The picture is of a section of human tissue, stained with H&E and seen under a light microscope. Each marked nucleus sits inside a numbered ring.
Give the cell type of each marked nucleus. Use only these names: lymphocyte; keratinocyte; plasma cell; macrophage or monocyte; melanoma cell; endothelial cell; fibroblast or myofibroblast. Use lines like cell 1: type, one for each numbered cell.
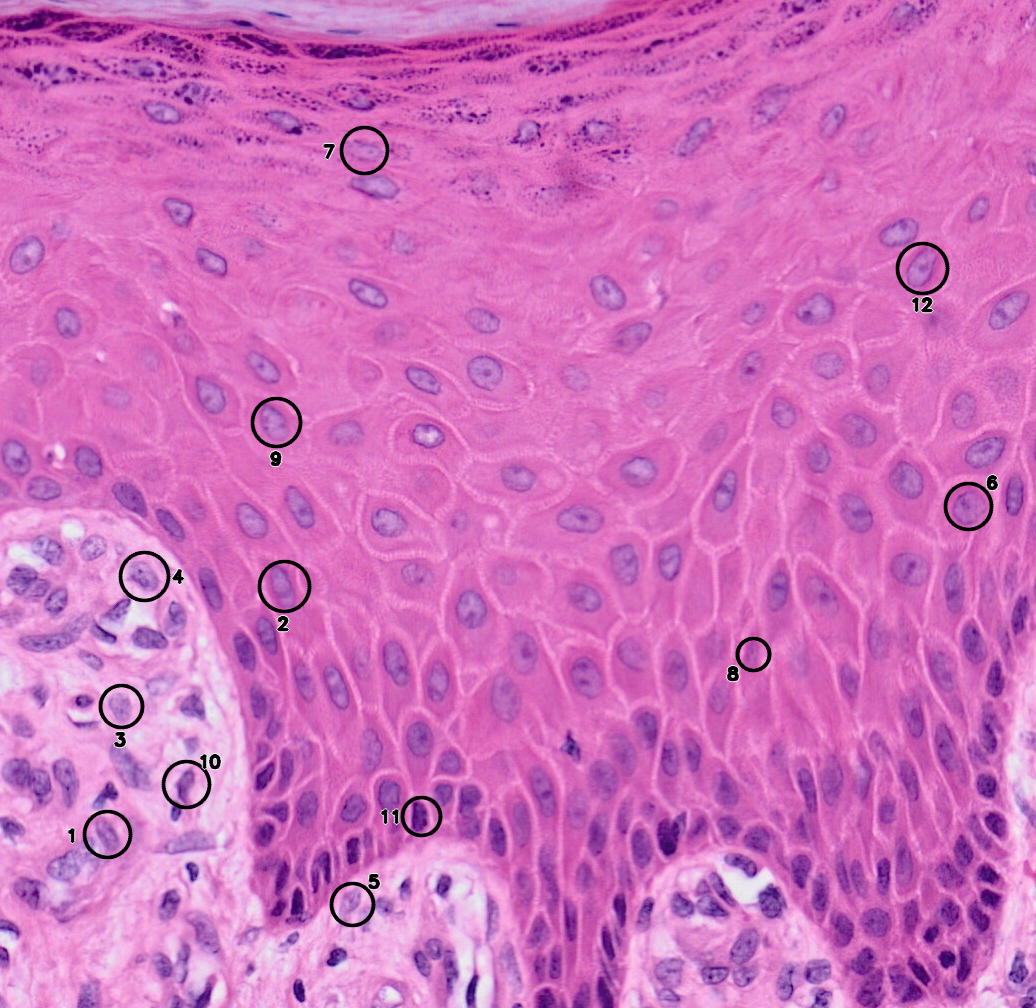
cell 1: endothelial cell
cell 2: keratinocyte
cell 3: fibroblast or myofibroblast
cell 4: endothelial cell
cell 5: fibroblast or myofibroblast
cell 6: keratinocyte
cell 7: keratinocyte
cell 8: keratinocyte
cell 9: keratinocyte
cell 10: fibroblast or myofibroblast
cell 11: keratinocyte
cell 12: keratinocyte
